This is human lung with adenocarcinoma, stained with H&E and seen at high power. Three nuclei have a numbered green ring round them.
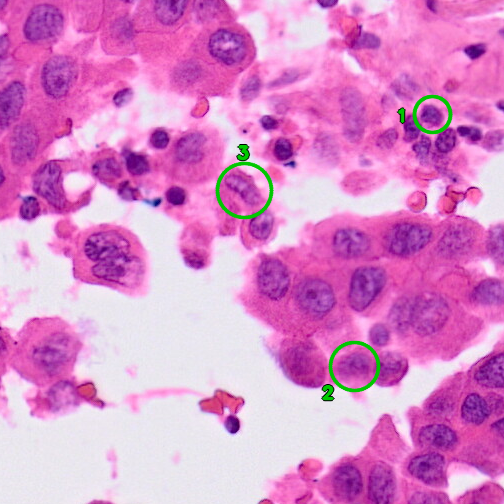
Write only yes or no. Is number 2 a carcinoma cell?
yes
